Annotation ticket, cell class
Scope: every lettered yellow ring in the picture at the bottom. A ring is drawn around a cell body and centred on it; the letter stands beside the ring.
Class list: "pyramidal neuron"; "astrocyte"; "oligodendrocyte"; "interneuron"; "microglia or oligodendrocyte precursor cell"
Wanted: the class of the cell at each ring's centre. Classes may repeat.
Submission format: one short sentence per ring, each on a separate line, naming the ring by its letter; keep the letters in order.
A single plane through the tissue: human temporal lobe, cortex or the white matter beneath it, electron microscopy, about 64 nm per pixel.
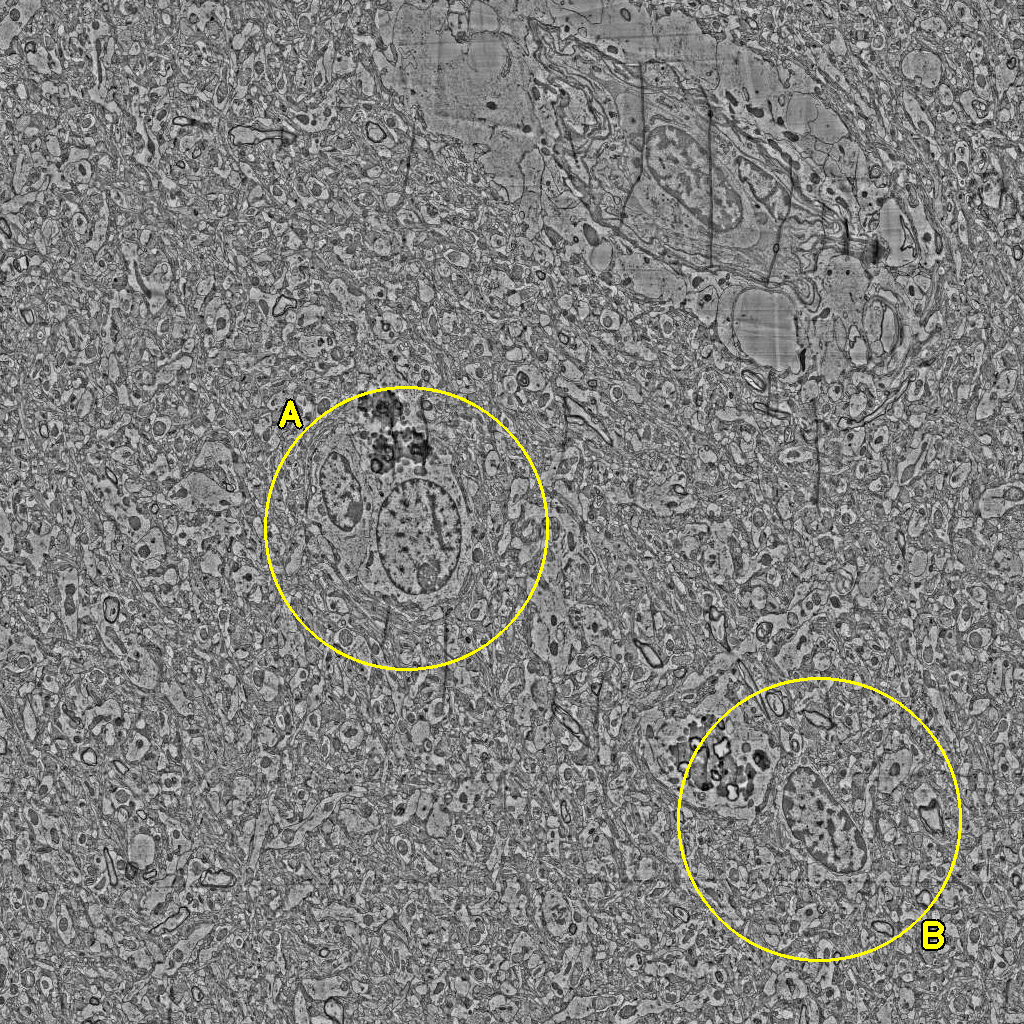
The centre of ring A is occupied by an astrocyte.
The centre of ring B is occupied by a microglial cell or oligodendrocyte precursor cell.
